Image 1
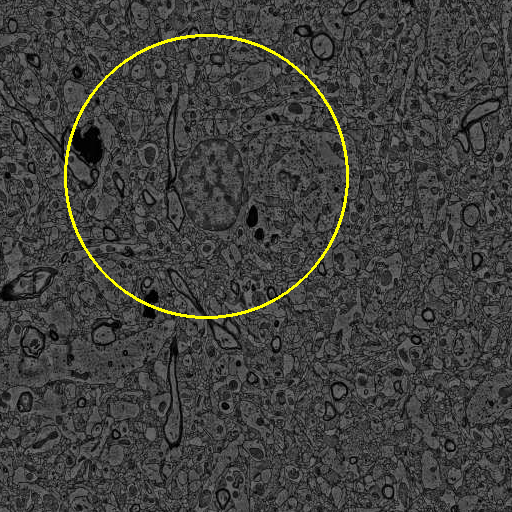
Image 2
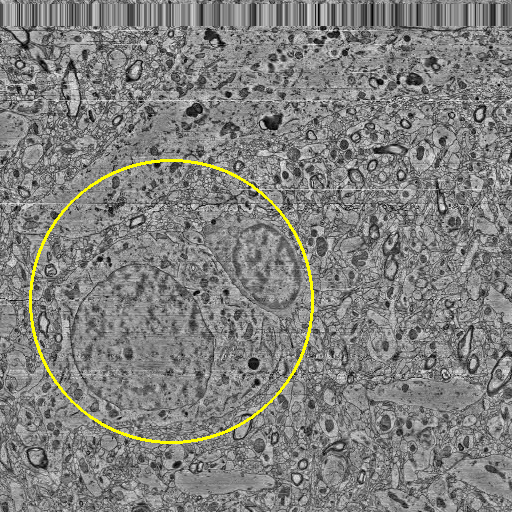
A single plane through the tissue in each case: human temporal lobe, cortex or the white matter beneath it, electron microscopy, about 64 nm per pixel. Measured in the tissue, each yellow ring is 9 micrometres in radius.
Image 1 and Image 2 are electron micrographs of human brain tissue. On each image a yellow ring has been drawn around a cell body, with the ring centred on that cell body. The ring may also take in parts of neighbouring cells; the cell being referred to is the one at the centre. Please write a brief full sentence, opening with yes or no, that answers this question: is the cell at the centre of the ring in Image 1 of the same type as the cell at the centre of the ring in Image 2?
No, the two cells are of two types.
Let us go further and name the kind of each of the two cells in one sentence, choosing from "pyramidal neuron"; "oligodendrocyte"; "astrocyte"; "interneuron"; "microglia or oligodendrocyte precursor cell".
The ring of the first picture is on an oligodendrocyte, the ring of the second on an interneuron.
